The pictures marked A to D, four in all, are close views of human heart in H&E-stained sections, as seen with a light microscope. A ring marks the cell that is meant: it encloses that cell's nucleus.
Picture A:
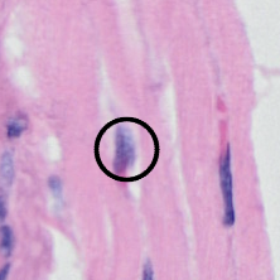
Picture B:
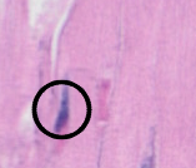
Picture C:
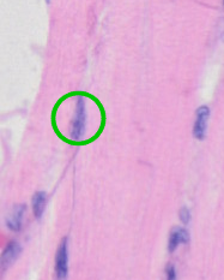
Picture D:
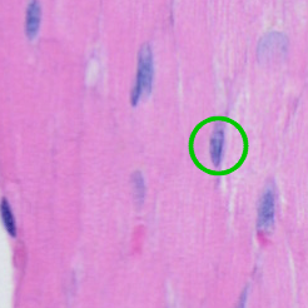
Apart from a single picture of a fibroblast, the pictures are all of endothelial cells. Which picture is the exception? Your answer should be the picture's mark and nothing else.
C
